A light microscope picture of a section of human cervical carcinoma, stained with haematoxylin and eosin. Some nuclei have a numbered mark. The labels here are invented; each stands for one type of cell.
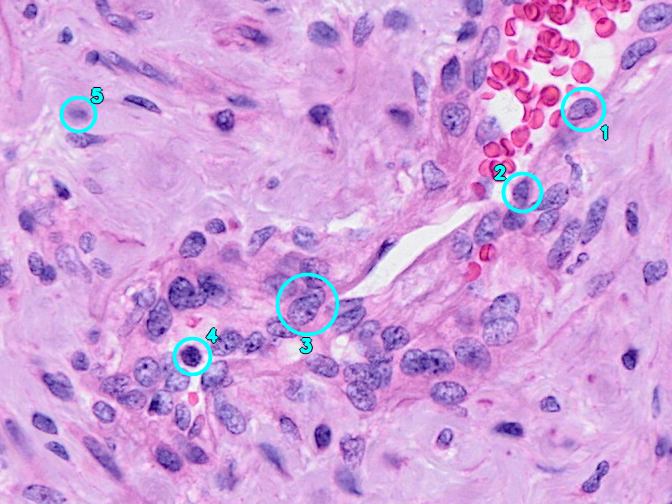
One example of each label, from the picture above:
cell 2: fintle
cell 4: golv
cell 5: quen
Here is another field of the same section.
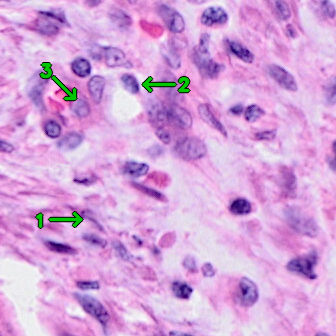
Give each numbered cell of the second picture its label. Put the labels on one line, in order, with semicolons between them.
quen; golv; fintle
